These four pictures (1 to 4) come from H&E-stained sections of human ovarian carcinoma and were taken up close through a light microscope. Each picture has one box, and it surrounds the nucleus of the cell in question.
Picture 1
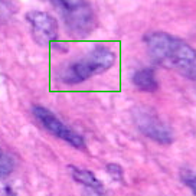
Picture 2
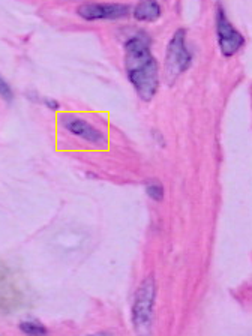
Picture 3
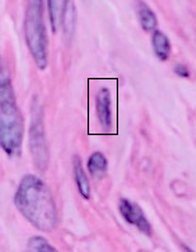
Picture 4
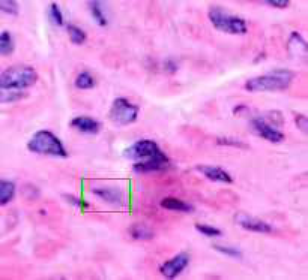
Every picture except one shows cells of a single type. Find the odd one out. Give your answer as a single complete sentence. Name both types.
The different one is picture 1; it shows a fibroblast, whereas all the others show smooth muscle cells.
